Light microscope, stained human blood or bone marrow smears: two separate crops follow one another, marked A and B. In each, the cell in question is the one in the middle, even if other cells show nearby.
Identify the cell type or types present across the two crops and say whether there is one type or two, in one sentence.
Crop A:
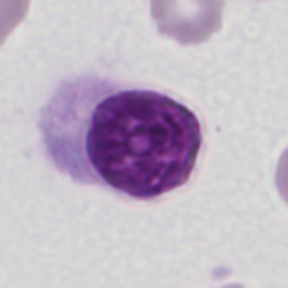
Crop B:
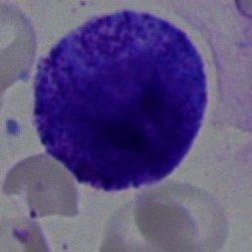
No, a plasma cell is centred in crop A, and a promyelocyte is centred in crop B.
